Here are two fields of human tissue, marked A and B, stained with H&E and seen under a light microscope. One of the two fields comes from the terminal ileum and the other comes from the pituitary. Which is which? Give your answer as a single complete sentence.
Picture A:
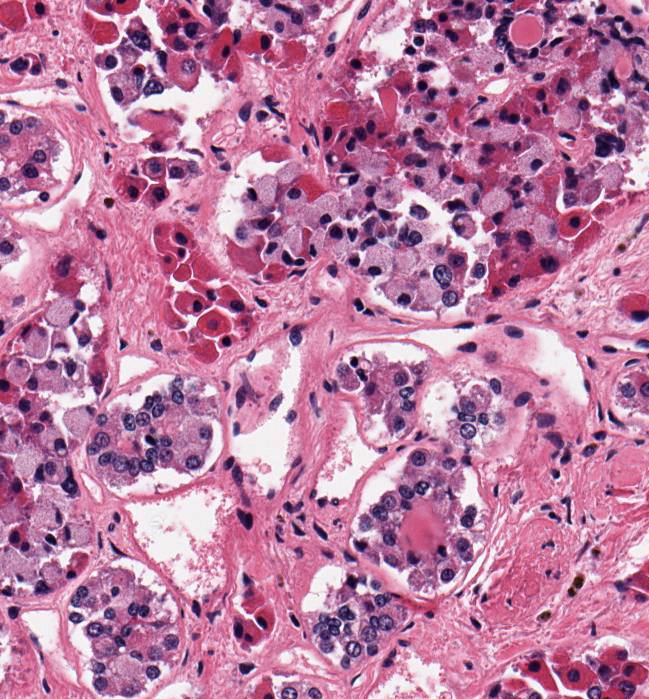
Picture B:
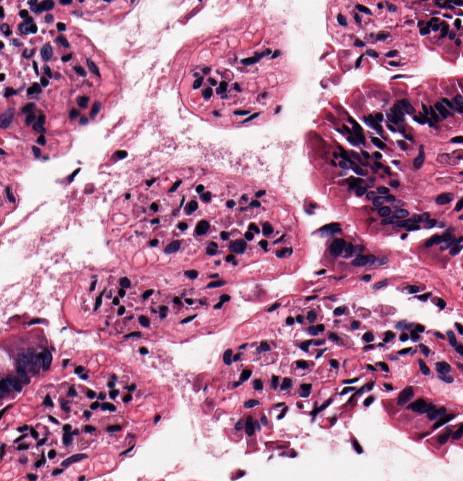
It is picture A that comes from the pituitary, and picture B that comes from the terminal ileum.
